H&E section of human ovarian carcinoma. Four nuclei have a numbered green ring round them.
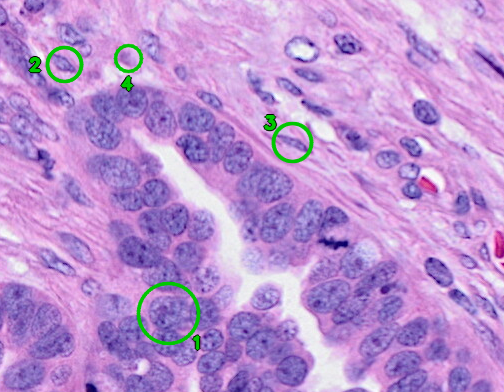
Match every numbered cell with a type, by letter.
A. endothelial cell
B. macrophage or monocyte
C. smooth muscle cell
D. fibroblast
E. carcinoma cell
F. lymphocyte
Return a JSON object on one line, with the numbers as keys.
{"1": "E", "2": "D", "3": "D", "4": "D"}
